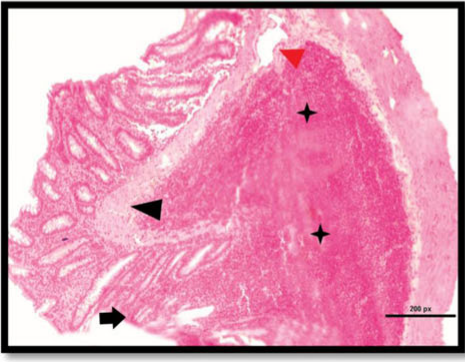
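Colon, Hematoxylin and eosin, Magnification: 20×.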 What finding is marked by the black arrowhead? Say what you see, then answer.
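The arrowhead points to a pale, loosely textured band beneath the mucosa. The tissue there is widened and sparsely cellular. The answer: Submucosal edema.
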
